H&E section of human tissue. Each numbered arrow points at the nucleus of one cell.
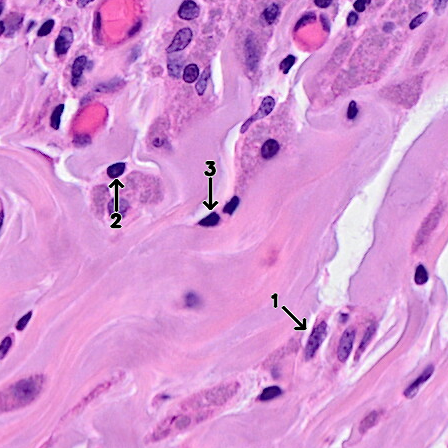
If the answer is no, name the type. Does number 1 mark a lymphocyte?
No, it is a fibroblast.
